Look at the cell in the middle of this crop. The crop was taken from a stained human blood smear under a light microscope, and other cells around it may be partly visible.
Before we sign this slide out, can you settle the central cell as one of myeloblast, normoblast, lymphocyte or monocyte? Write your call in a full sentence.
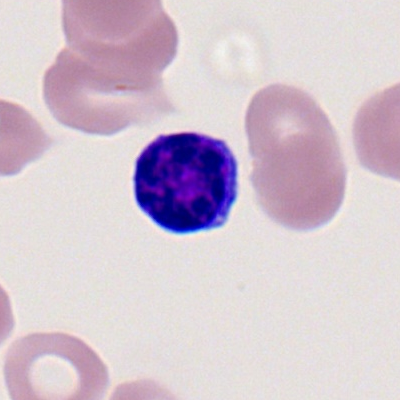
For this crop, the central cell is a lymphocyte.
